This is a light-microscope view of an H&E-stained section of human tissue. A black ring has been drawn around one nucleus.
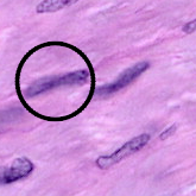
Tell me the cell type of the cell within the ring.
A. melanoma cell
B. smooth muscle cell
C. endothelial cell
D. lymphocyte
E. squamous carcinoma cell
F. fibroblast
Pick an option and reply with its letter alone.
F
